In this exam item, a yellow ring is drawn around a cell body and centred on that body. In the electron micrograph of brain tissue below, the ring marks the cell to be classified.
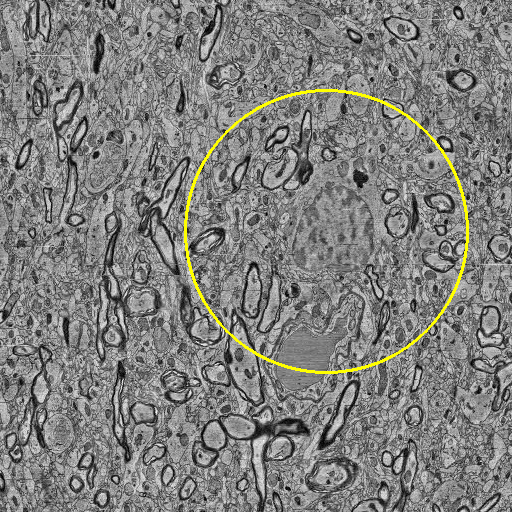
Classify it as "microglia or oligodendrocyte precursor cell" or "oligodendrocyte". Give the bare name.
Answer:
oligodendrocyte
